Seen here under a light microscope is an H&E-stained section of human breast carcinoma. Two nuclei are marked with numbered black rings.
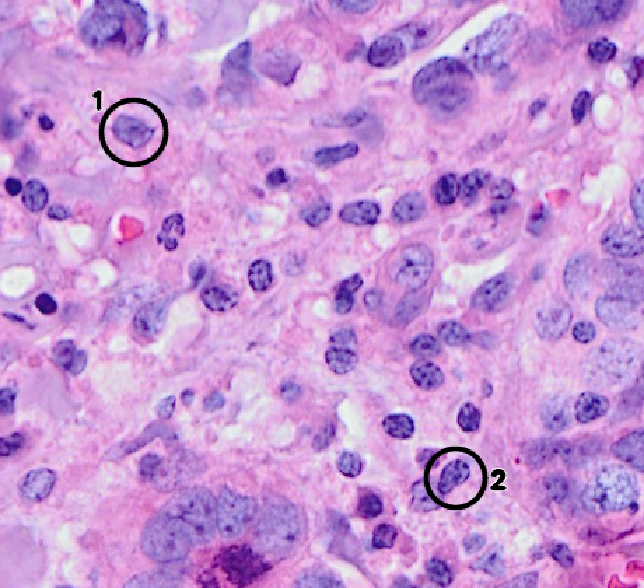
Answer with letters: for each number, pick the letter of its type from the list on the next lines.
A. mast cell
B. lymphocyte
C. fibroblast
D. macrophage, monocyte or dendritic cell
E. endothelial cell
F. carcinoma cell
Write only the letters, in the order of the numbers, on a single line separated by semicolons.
D; B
